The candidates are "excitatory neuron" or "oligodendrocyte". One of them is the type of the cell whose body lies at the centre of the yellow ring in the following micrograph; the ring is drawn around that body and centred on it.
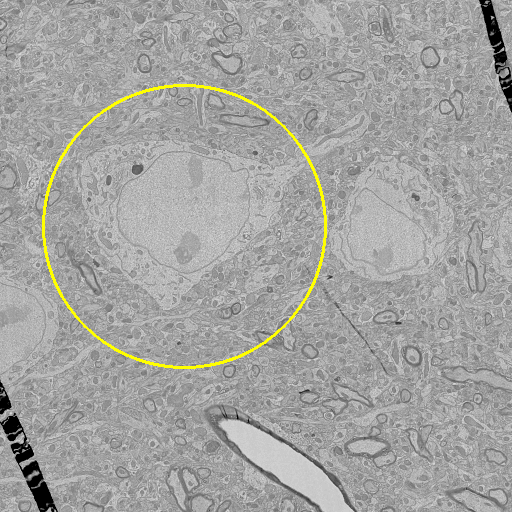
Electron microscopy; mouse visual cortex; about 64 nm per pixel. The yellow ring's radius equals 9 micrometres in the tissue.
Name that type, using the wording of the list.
excitatory neuron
